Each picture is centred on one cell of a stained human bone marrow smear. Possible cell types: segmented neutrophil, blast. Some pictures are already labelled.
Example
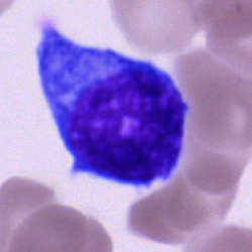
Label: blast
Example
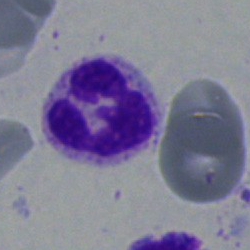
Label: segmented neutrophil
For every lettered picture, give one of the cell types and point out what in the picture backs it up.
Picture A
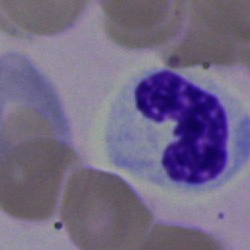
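segmented neutrophil. Evidence: The chromatin is dark purple and coarsely clumped with small pale gaps.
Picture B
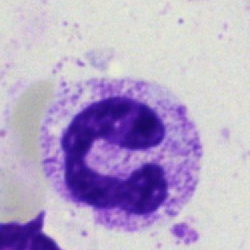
segmented neutrophil. Evidence: Fine purple granules are scattered throughout the cytoplasm.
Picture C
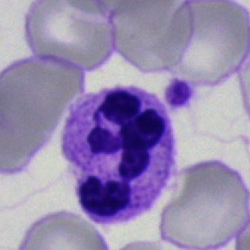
segmented neutrophil. Evidence: Fine small purplish granules are scattered throughout the cytoplasm.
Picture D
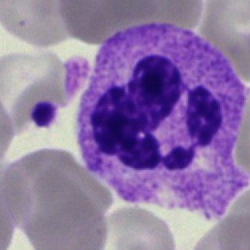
segmented neutrophil. Evidence: The cytoplasm is abundant and pale lilac.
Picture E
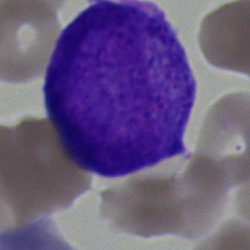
blast. Evidence: The nucleus fills almost the entire cell.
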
